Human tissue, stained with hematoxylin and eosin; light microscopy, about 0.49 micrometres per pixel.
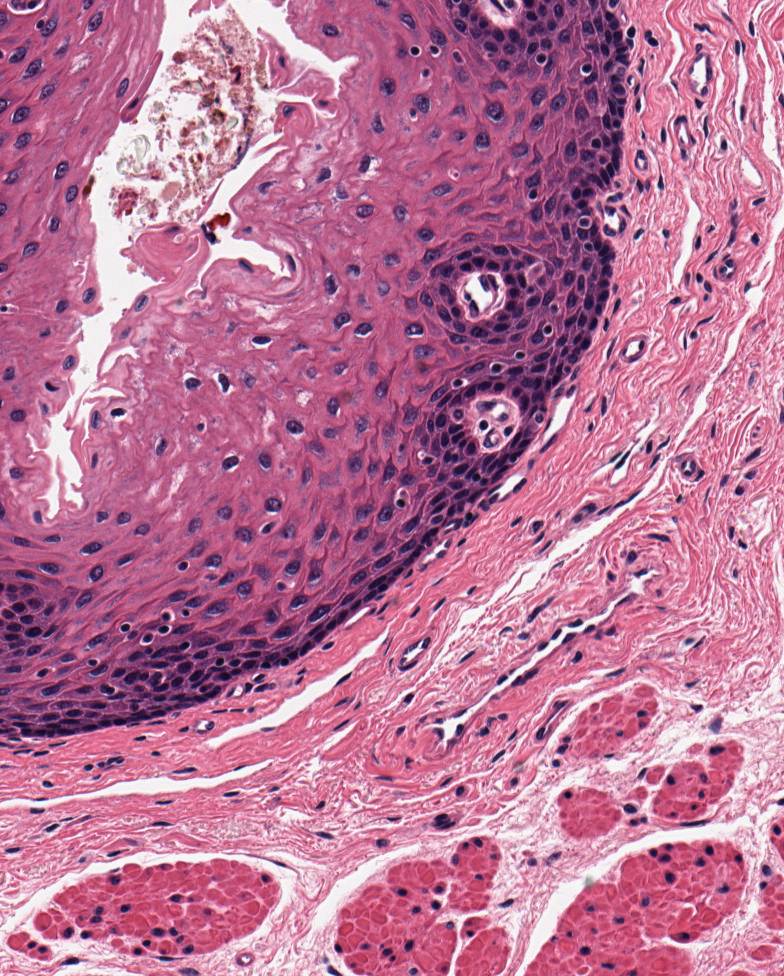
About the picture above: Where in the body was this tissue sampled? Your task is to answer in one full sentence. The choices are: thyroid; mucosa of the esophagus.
This slide holds tissue sampled from the mucosa of the esophagus.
